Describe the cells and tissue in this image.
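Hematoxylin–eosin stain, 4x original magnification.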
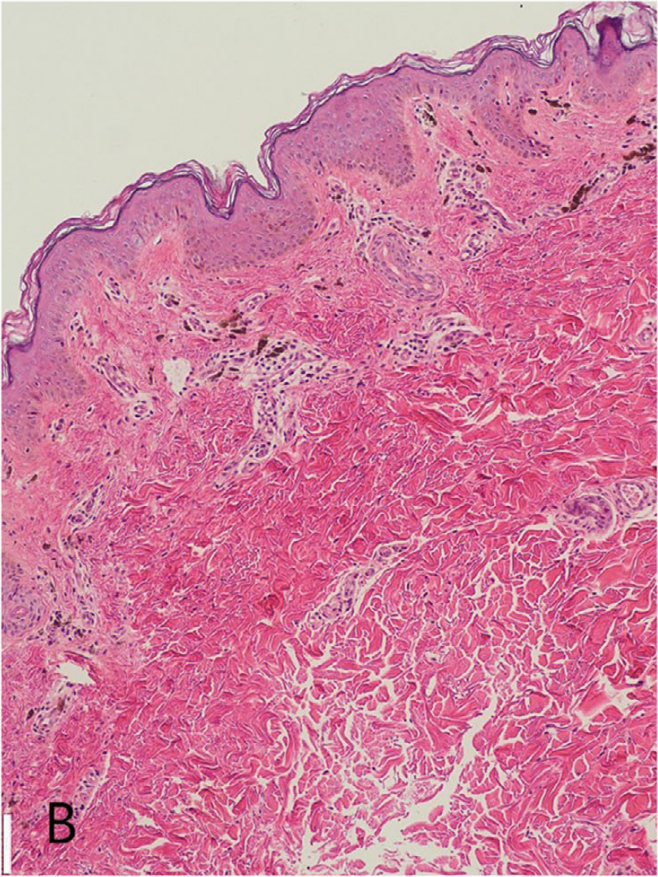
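This is skin at low power, with a wavy epidermis running diagonally across the upper part and dermis below it. The keratin layer is thin and loose, the spinous layer is of ordinary thickness, and the rete ridges point down into the dermis. In the upper dermis, around small vessels and among a few cells, there are clumps of dark brown pigment held in cells. Below this layer the dermis is pink collagen without pigment, and no band-like inflammatory infiltrate lines the junction.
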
